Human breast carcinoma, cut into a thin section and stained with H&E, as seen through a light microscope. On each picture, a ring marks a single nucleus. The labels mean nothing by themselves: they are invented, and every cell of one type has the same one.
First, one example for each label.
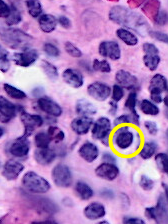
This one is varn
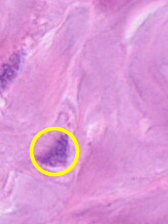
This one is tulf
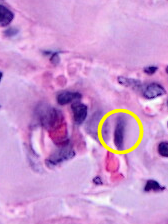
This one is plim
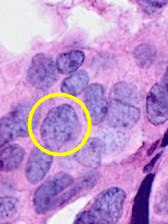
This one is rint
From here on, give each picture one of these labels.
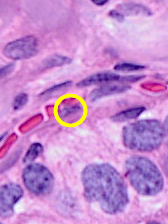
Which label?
plim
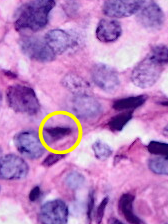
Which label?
rint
